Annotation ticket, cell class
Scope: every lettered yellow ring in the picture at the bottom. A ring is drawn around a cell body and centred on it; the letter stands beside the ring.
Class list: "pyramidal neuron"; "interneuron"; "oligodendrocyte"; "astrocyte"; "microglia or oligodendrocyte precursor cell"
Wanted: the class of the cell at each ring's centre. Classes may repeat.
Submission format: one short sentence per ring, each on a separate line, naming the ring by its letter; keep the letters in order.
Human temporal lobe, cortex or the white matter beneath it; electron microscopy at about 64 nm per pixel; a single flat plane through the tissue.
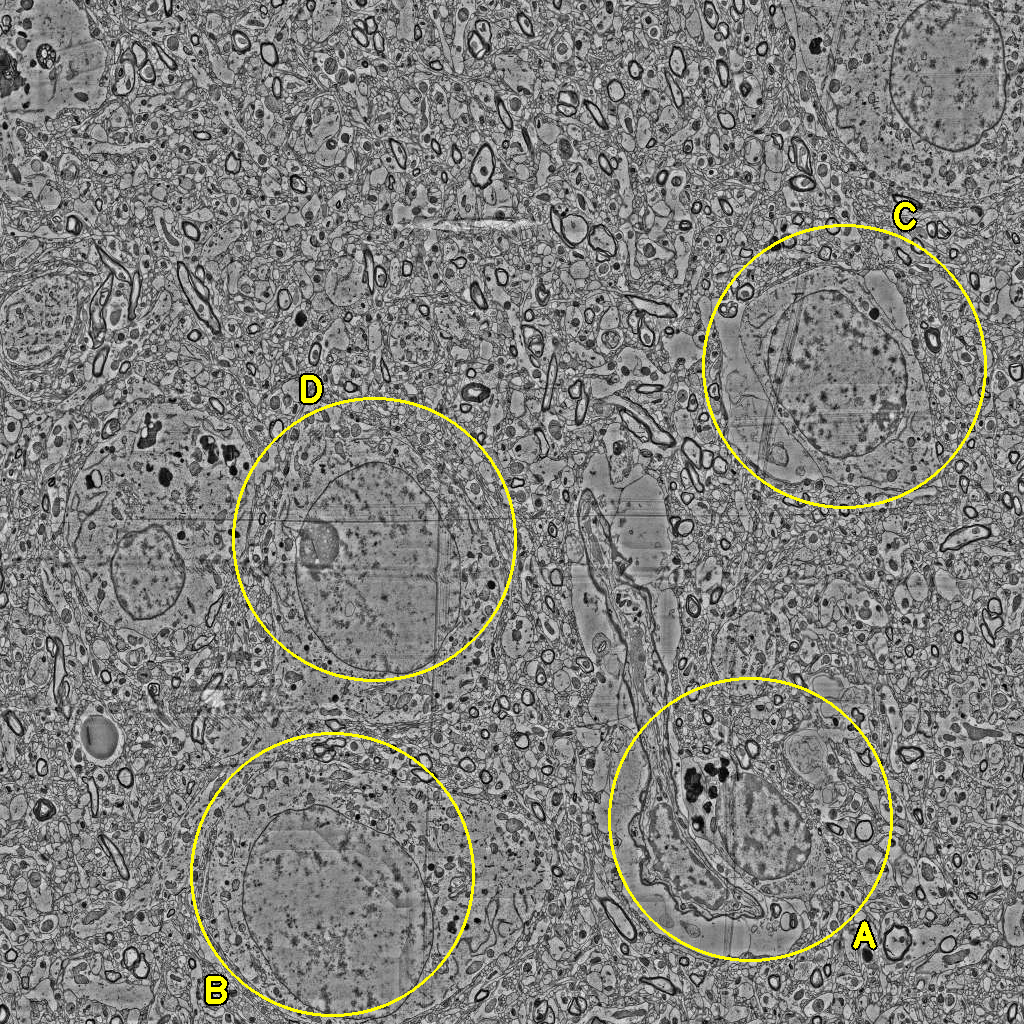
The centre of ring A is occupied by an oligodendrocyte.
The centre of ring B is occupied by a pyramidal neuron.
The centre of ring C is occupied by an interneuron.
The centre of ring D is occupied by a pyramidal neuron.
